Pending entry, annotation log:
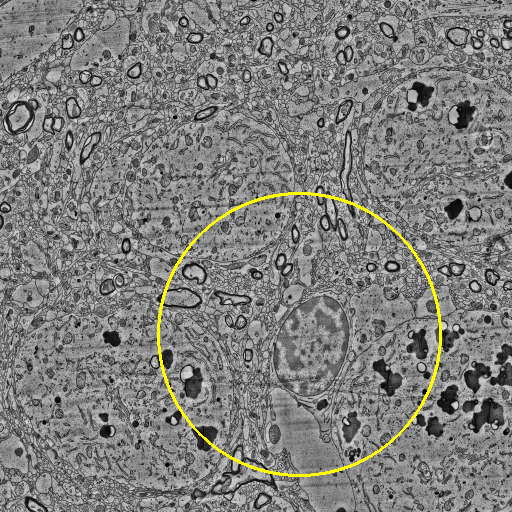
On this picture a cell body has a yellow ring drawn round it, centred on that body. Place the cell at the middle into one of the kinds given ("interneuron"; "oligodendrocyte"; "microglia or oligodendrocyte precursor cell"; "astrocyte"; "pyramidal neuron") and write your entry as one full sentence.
The cell body at the middle of the yellow ring belongs to a microglial cell or oligodendrocyte precursor cell.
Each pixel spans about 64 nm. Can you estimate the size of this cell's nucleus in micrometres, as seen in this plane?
In this plane, the nucleus is roughly 7 by 5 micrometres.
